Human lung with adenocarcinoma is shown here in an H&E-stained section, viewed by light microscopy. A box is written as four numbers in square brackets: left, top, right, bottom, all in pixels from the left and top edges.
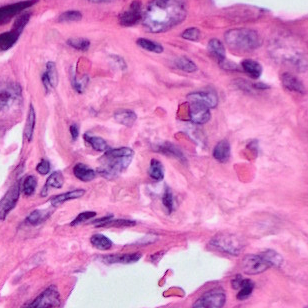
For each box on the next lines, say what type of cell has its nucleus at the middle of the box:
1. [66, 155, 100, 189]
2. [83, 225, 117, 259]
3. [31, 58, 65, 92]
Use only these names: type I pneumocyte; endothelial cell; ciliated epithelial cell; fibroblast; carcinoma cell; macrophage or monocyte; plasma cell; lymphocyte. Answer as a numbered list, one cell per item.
1. plasma cell
2. lymphocyte
3. fibroblast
